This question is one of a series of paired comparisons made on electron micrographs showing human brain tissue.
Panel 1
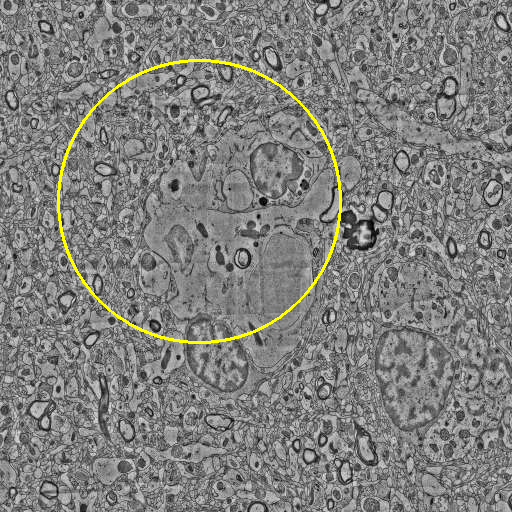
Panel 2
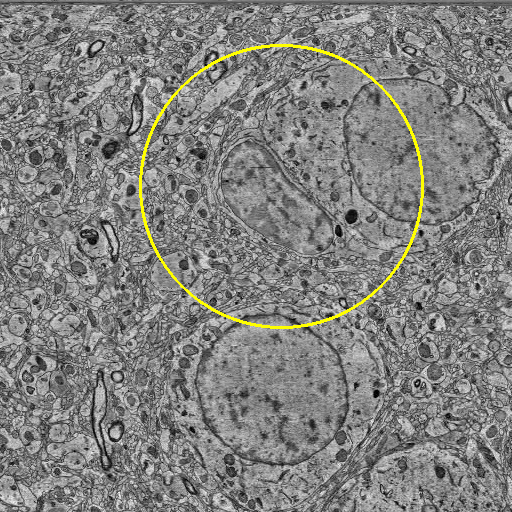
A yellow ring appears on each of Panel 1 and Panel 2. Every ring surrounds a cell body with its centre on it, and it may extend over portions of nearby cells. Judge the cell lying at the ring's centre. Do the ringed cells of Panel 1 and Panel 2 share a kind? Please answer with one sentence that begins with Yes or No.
Yes, the ring-centre cell in Panel 1 and the one in Panel 2 are of one kind.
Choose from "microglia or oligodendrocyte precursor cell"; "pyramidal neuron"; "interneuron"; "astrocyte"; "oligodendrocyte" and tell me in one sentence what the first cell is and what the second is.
Each of the ringed cells, first and second, is a microglial cell or oligodendrocyte precursor cell.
